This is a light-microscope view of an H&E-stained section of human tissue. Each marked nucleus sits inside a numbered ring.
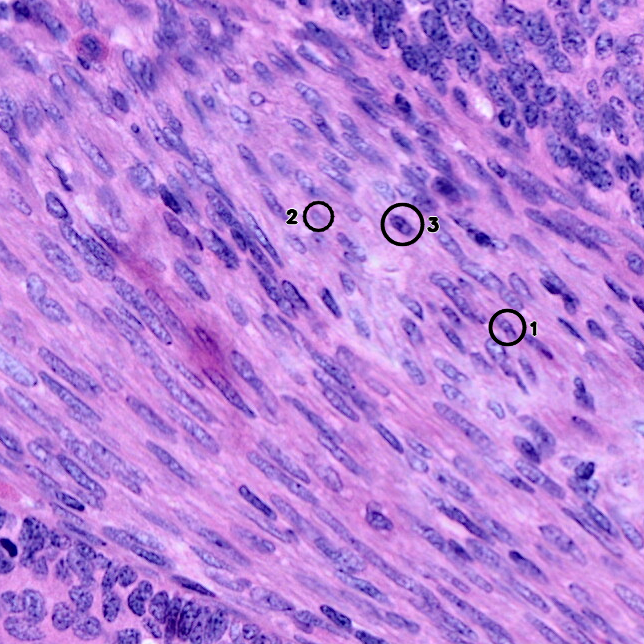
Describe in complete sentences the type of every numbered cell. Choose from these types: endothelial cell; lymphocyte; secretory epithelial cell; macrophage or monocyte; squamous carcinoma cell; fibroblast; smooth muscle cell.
Cell 1 is a smooth muscle cell, cell 2 is a smooth muscle cell and cell 3 is a lymphocyte.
